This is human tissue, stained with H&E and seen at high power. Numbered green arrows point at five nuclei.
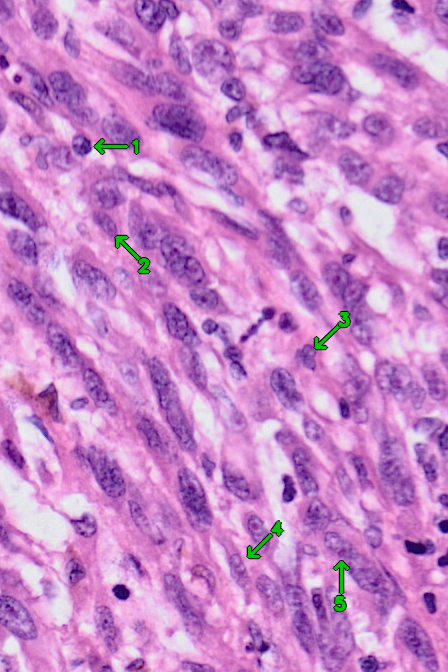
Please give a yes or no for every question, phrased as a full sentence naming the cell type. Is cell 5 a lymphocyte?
No, cell 5 does not count as a lymphocyte; it is a melanoma cell.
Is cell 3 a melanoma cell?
No, cell 3 is identified not as a melanoma cell but as a macrophage or monocyte.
